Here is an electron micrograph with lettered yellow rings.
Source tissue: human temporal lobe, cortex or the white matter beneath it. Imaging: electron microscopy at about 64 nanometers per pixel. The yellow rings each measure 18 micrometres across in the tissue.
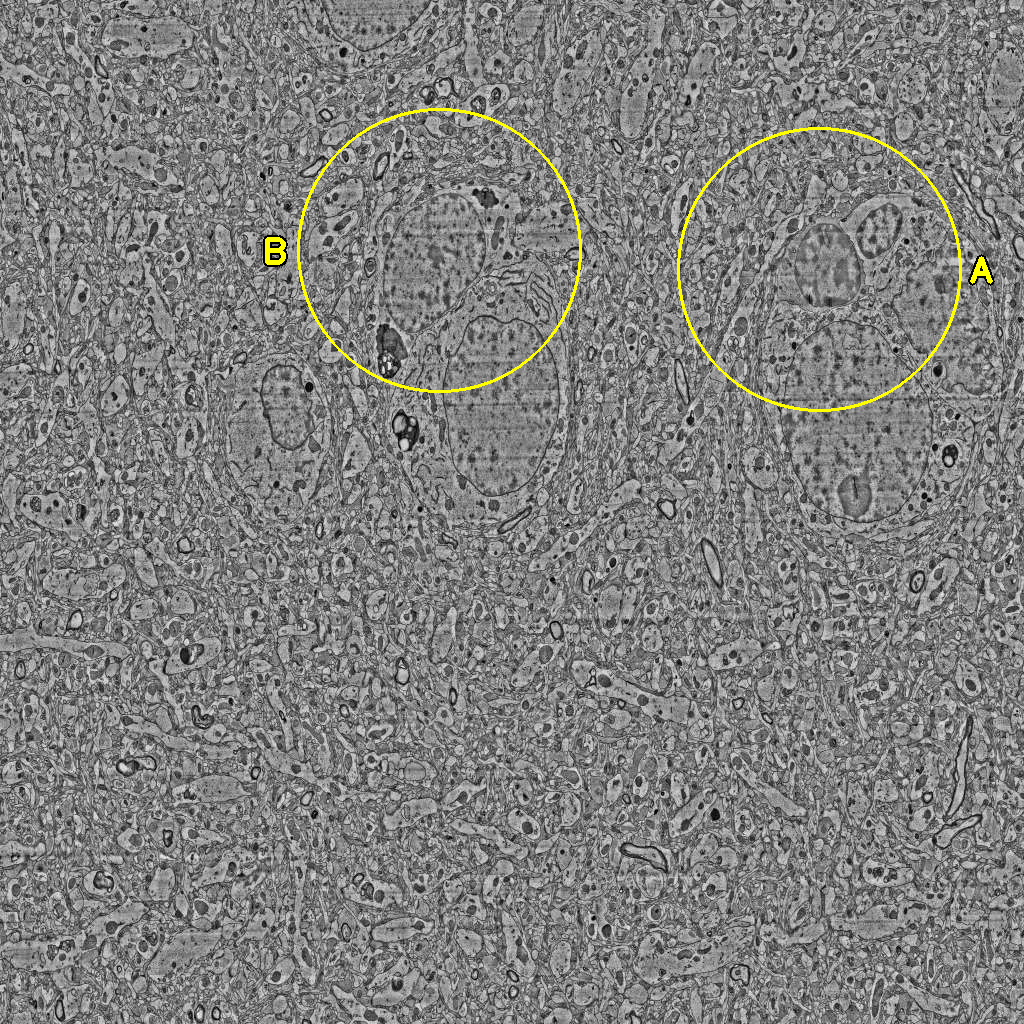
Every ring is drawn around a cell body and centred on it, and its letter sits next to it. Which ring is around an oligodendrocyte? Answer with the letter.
A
